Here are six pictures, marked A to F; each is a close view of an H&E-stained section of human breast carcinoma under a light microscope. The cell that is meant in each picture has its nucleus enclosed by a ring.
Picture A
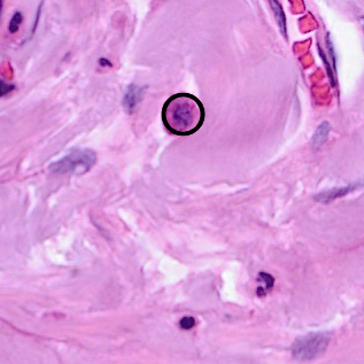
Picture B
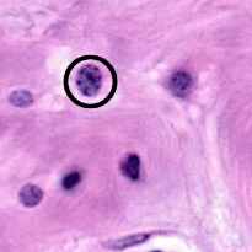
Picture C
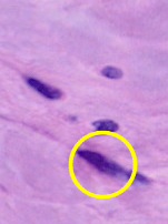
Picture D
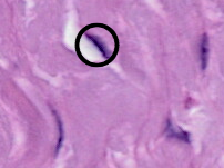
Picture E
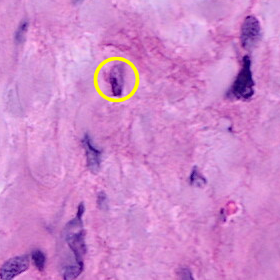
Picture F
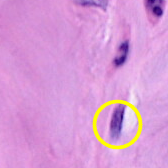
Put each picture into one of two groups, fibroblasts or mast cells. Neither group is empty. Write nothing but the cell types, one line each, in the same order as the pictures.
mast cell
mast cell
fibroblast
fibroblast
fibroblast
fibroblast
